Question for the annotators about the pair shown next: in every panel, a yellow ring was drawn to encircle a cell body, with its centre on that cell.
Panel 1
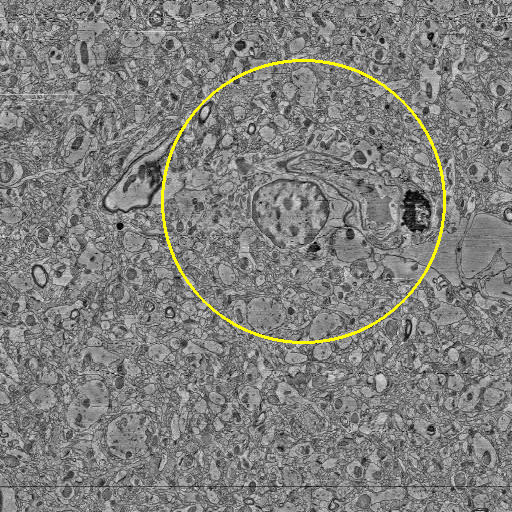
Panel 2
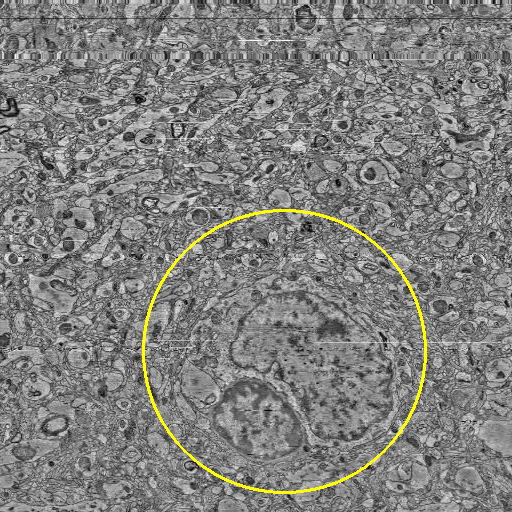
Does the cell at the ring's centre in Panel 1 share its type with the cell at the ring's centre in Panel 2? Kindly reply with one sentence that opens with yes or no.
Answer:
No, in Panels 1 and 2 the cells at the ring centres belong to separate types.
